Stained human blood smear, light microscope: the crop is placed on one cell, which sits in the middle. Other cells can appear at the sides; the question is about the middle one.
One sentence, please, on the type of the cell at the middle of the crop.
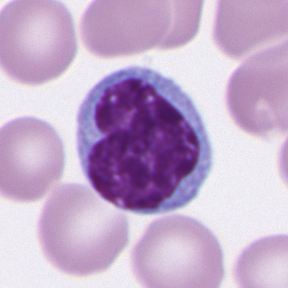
For this crop, the cell in the middle is a typical lymphocyte.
